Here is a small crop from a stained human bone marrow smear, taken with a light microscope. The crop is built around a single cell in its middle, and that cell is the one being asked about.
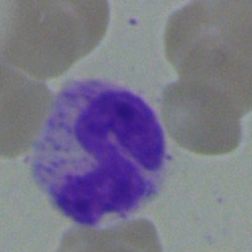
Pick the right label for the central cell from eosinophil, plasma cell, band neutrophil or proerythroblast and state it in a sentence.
In short, the cell at the center is a band neutrophil.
